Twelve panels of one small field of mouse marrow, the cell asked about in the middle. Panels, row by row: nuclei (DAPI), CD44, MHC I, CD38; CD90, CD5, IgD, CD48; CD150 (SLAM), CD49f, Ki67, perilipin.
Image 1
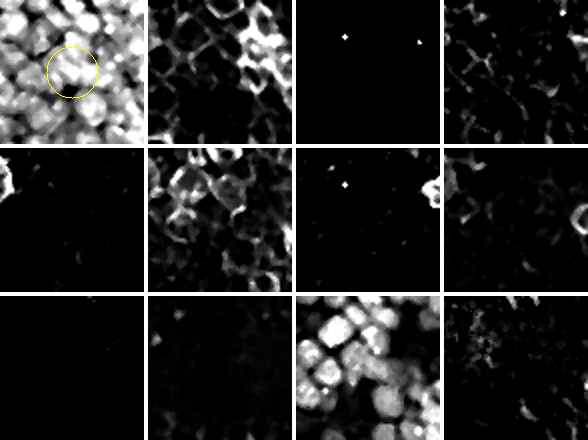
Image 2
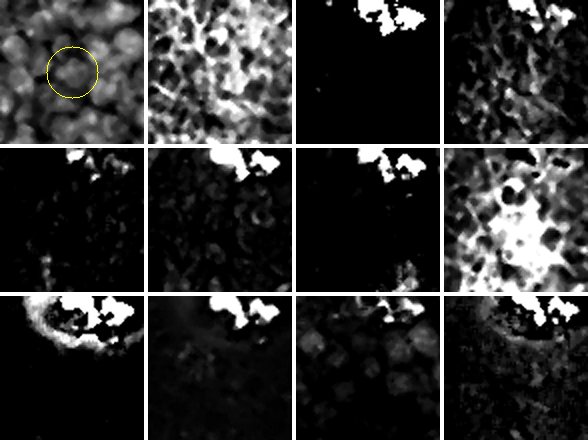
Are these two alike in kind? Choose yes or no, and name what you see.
No. First an erythroblast, second a B cell.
